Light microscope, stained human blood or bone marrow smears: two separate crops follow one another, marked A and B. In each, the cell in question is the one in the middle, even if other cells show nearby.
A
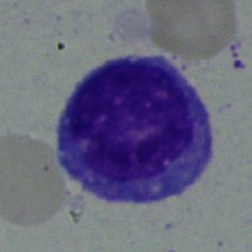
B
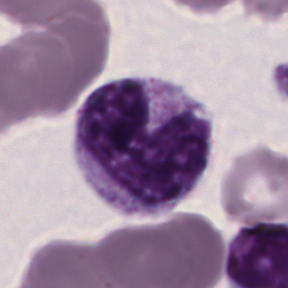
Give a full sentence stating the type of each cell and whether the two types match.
No, crop A contains a monocyte, whereas crop B contains a metamyelocyte.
